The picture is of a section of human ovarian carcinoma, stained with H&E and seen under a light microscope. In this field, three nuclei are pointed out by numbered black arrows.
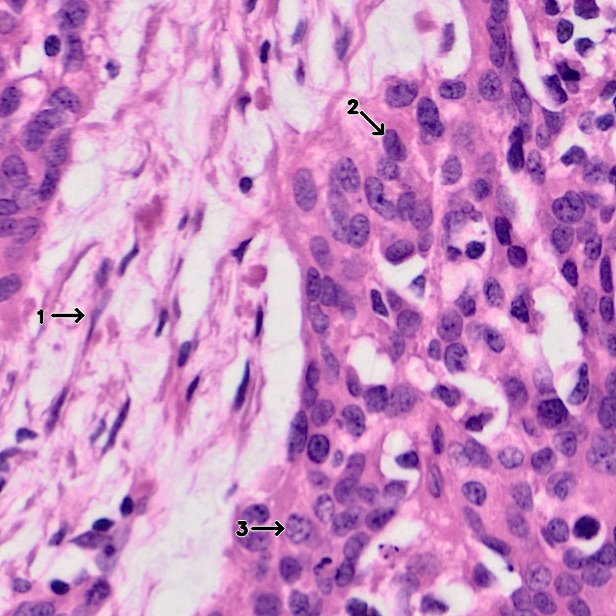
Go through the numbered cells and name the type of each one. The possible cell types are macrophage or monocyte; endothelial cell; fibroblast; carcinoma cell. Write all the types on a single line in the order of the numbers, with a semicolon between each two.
fibroblast; carcinoma cell; carcinoma cell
